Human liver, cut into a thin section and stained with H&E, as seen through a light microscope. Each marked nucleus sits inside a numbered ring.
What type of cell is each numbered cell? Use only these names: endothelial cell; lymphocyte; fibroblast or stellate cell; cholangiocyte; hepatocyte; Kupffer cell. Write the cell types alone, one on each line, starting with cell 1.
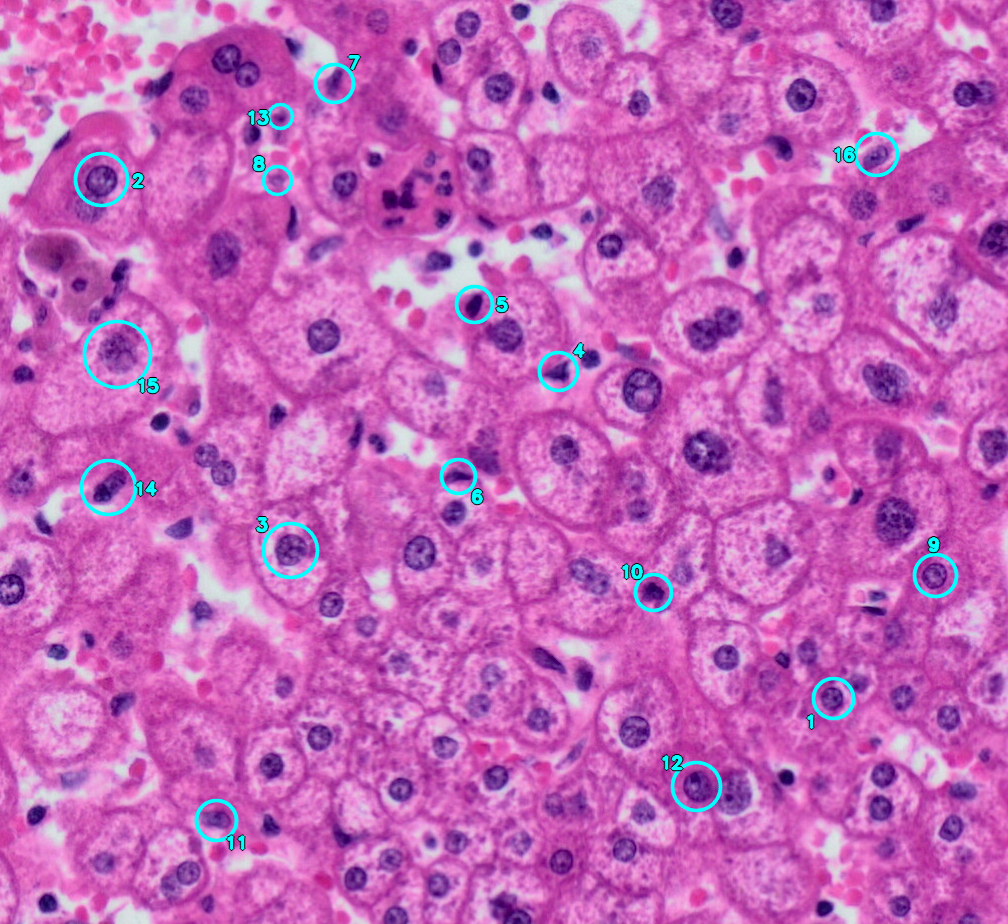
hepatocyte
hepatocyte
hepatocyte
endothelial cell
fibroblast or stellate cell
fibroblast or stellate cell
fibroblast or stellate cell
Kupffer cell
hepatocyte
fibroblast or stellate cell
Kupffer cell
hepatocyte
Kupffer cell
Kupffer cell
hepatocyte
Kupffer cell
